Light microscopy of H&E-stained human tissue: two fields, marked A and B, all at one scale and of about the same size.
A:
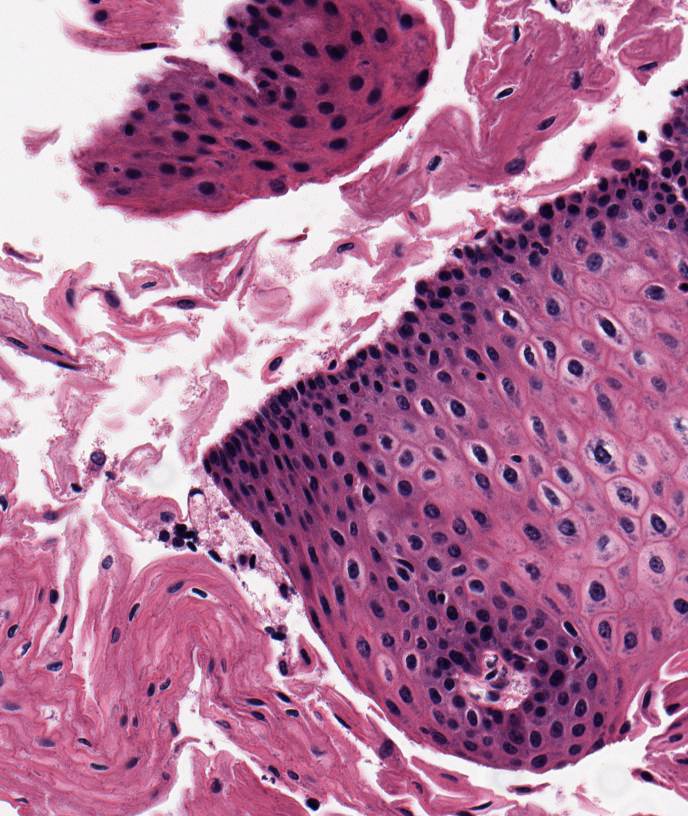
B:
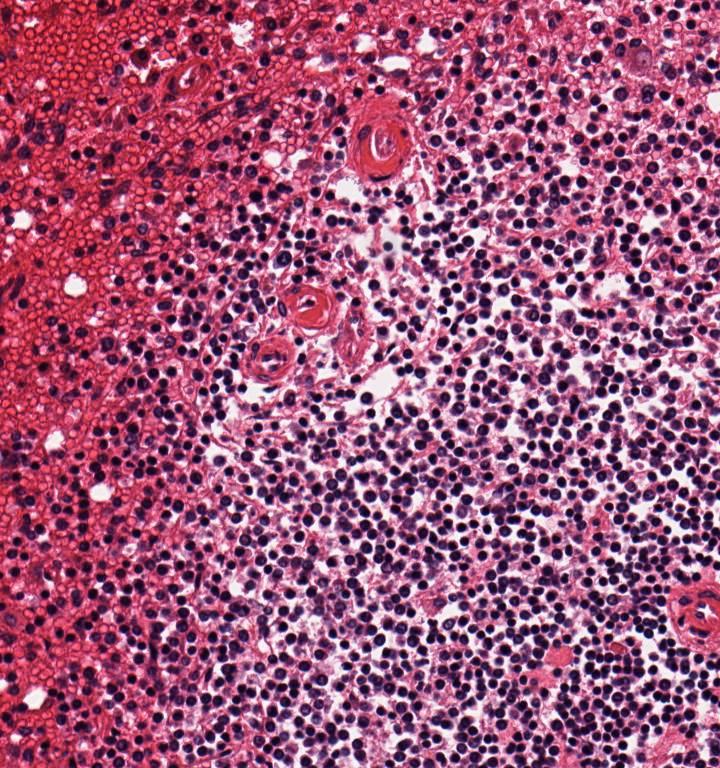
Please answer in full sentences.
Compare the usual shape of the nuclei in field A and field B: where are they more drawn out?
On the whole the nuclei of field A are more drawn out than those of field B.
